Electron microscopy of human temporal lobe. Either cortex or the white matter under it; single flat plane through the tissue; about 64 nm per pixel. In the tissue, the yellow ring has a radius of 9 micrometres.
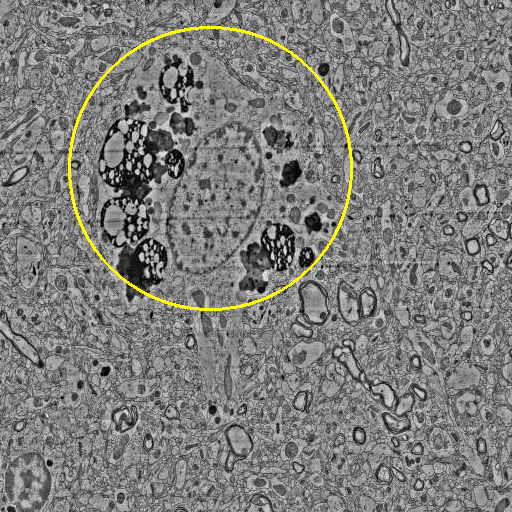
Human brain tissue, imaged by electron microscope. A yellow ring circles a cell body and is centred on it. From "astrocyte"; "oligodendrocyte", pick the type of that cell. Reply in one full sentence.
The cell body at the centre of the yellow ring belongs to an astrocyte.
